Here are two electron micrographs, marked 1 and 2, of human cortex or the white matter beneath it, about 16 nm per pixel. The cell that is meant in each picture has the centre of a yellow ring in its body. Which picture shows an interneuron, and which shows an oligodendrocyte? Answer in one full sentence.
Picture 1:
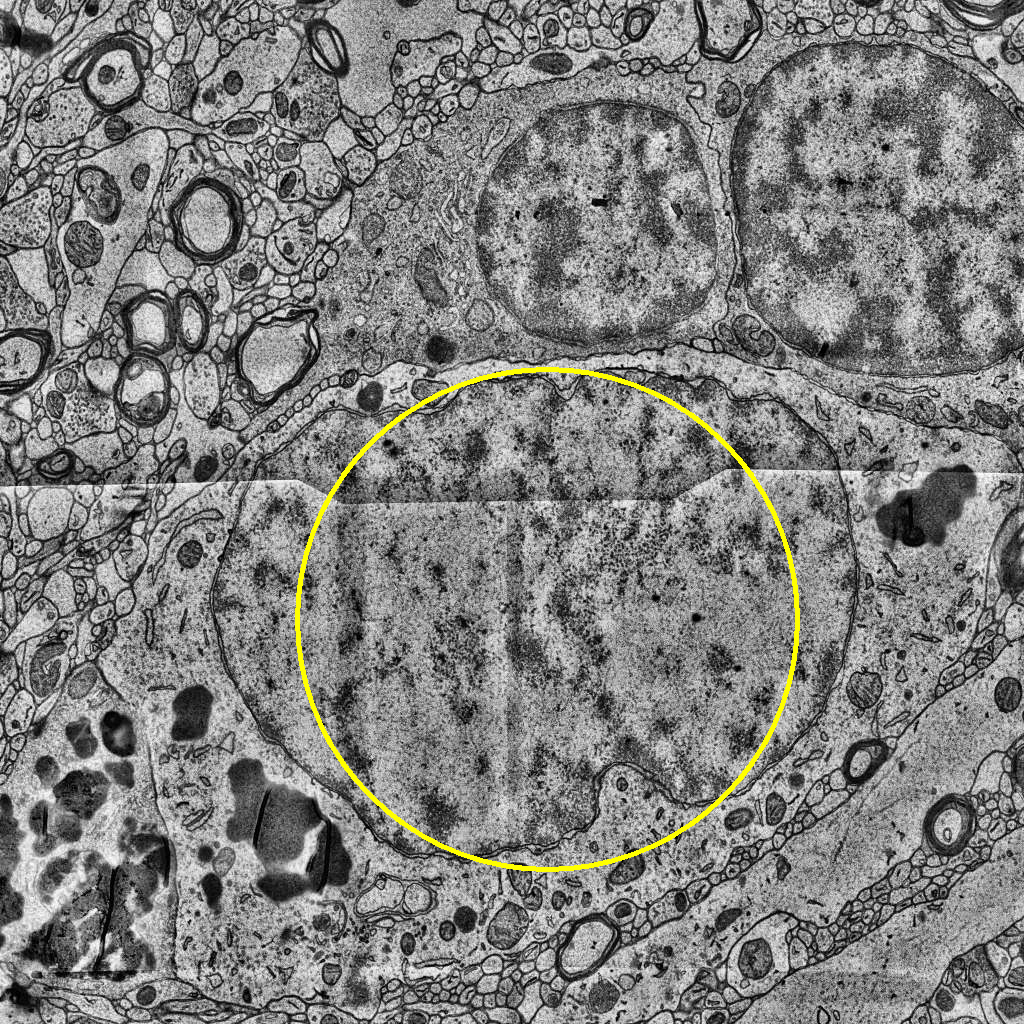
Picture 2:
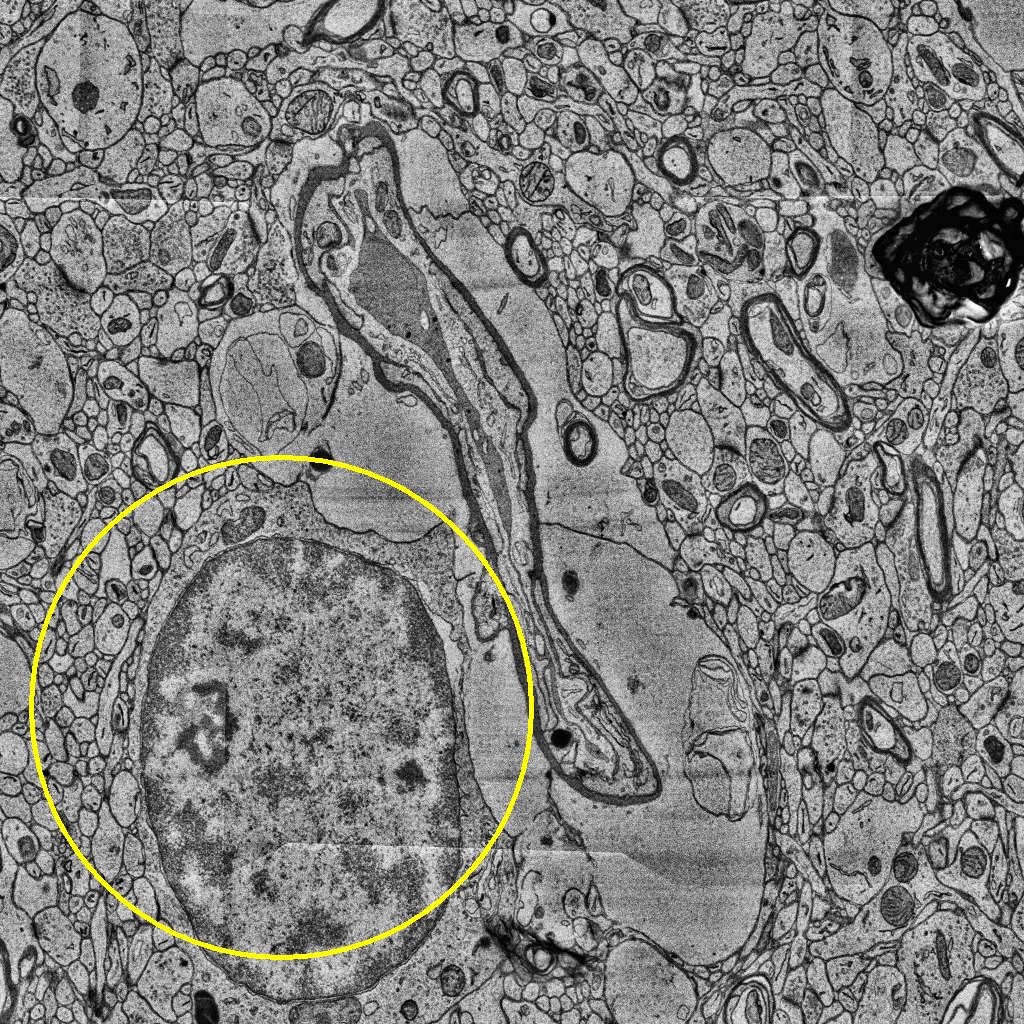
Picture 1 is of an interneuron, and picture 2 is of an oligodendrocyte.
